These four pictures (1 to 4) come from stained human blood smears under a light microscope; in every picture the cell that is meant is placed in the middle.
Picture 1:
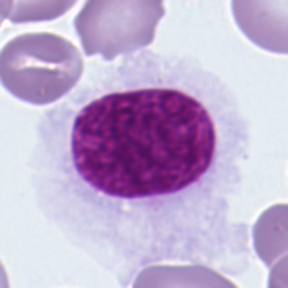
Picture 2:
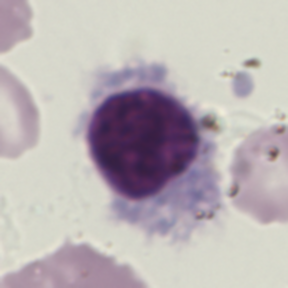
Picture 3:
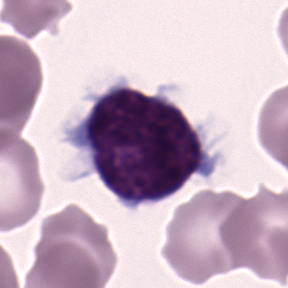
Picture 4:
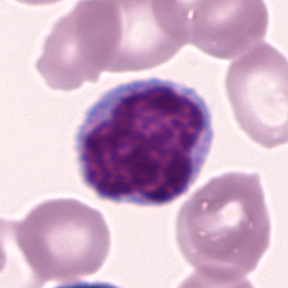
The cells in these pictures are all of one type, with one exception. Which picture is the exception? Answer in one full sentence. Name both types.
All pictures except 4 show hairy cells; picture 4 shows a typical lymphocyte.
